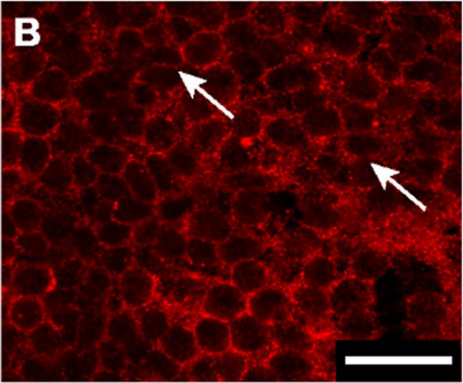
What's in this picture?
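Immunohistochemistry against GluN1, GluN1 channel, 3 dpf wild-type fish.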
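Densely packed, rounded cell bodies of the cell-rich parenchyma are each outlined by a thin red ring at the cell membrane, giving a honeycomb-like pattern. The cell interiors are dark, and some finer, diffuse red puncta lie between cells toward the lower right.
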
